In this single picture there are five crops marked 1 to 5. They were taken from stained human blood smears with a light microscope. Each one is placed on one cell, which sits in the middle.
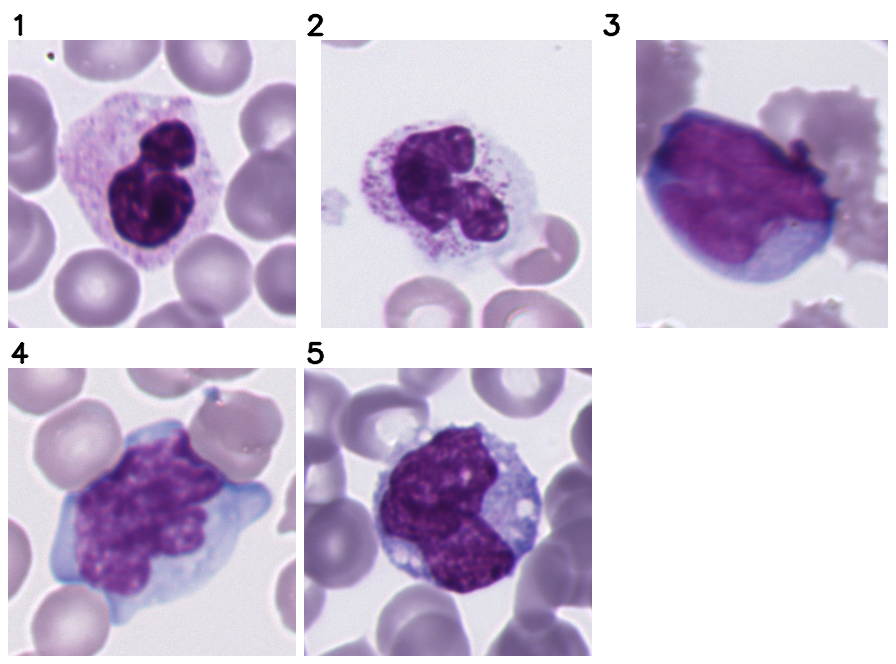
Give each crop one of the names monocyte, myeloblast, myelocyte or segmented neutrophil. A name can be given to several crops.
1: segmented neutrophil
2: segmented neutrophil
3: myeloblast
4: myeloblast
5: monocyte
